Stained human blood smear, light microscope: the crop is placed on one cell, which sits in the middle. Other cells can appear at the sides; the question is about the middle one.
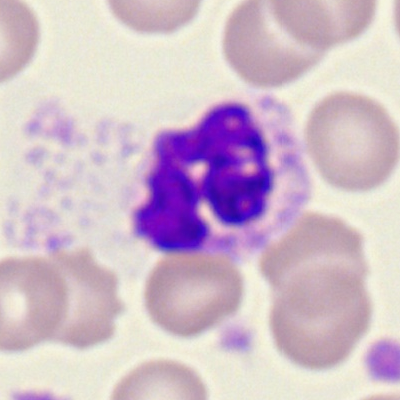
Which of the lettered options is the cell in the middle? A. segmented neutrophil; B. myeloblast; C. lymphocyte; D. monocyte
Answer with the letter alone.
A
